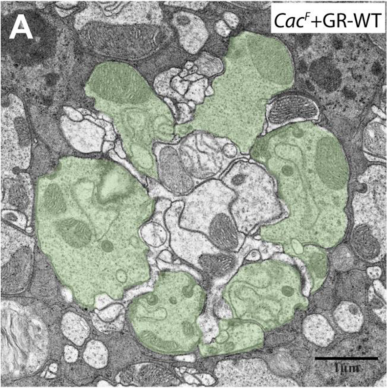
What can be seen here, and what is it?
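A cross-section through one lamina cartridge shows six photoreceptor terminals, shaded green, arranged in a ring around a central bundle of small pale postsynaptic processes. The terminals are rounded to lobed profiles of roughly similar size, with a finely granular cytoplasm containing several oval mitochondria with visible cristae. No swollen profiles, vacuoles or dark, collapsed terminals are seen; the cartridge keeps a regular, compact arrangement.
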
